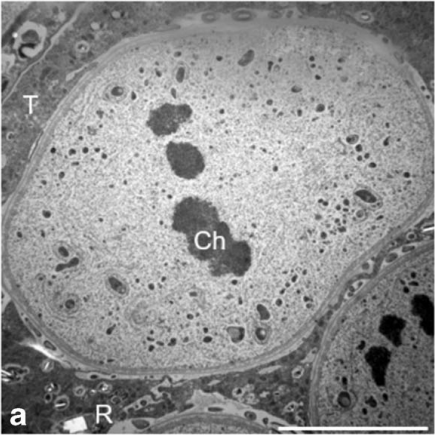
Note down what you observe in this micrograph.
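A large rounded microsporocyte with a thick wall sits among denser tapetal cells, its dark condensed chromosomes lined up in a band across the middle. The pale cytoplasm is scattered with small dark organelles, several of them enclosed by membrane profiles, and there is no nuclear envelope.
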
